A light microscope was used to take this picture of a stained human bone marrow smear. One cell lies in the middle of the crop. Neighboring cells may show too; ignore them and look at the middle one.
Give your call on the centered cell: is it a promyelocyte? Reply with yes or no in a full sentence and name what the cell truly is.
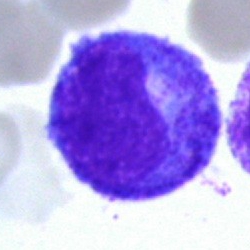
Yes, a promyelocyte is the cell positioned in the middle of the field.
